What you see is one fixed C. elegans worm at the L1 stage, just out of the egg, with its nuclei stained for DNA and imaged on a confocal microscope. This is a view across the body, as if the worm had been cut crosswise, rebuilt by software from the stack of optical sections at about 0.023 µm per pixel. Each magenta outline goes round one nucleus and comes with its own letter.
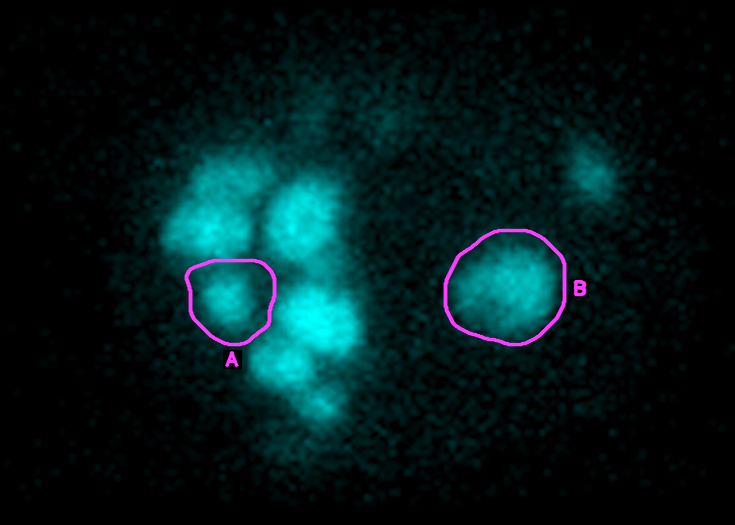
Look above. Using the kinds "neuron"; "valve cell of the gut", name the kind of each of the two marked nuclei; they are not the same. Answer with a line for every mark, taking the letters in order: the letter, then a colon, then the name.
A: neuron
B: valve cell of the gut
